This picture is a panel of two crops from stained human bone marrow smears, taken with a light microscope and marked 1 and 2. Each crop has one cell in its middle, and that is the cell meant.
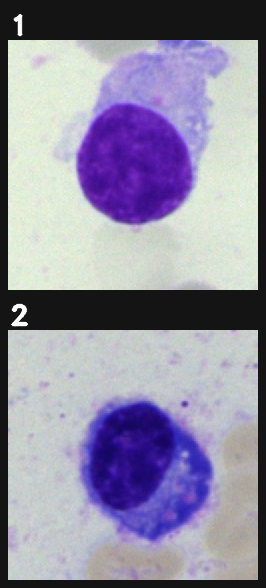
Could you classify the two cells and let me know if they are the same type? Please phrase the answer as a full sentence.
No, crop 1 shows a hairy cell, and it is crop 2 that shows a plasma cell.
